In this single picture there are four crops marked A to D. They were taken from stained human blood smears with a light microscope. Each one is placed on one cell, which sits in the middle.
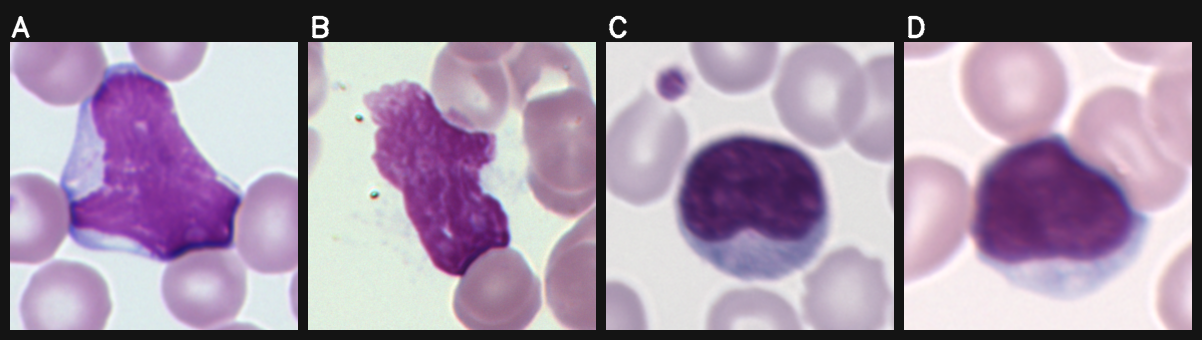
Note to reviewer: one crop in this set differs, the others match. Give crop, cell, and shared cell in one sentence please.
Apart from crop B, which shows a smudge cell, every crop shows typical lymphocytes.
